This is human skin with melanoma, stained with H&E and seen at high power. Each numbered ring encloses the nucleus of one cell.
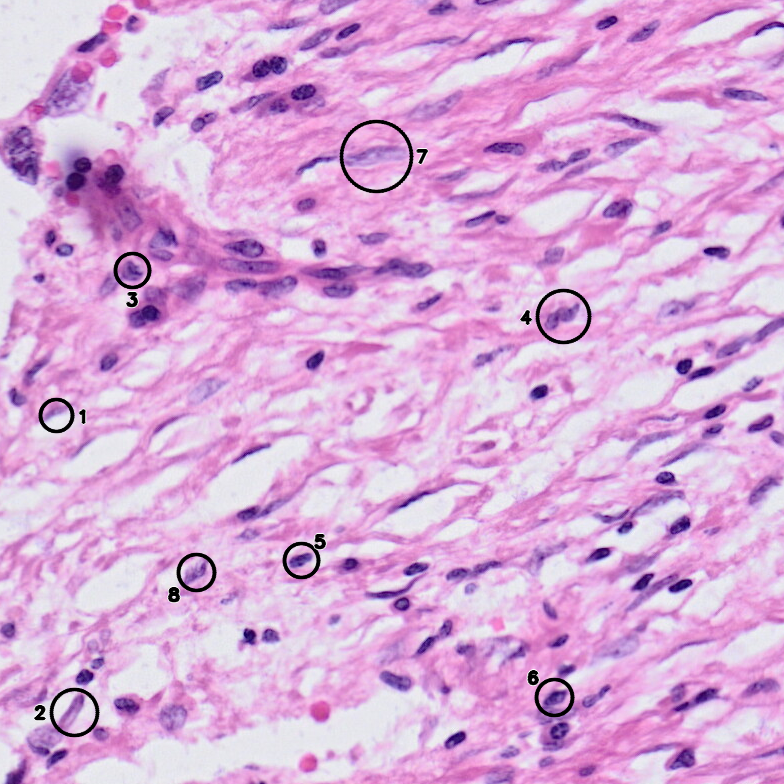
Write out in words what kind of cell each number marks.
Cell 1 is a fibroblast or myofibroblast, cell 2 is a fibroblast or myofibroblast, cell 3 is a lymphocyte, cell 4 is a macrophage or monocyte, cell 5 is a lymphocyte, cell 6 is a lymphocyte, cell 7 is a fibroblast or myofibroblast and cell 8 is a fibroblast or myofibroblast.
